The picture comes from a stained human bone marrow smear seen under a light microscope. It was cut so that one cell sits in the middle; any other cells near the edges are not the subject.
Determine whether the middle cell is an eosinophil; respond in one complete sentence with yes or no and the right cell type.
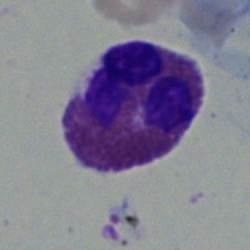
Yes, the cell shown in the middle is an eosinophil.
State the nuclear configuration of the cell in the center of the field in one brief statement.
The nucleus is divided into two or more distinct lobes.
